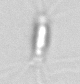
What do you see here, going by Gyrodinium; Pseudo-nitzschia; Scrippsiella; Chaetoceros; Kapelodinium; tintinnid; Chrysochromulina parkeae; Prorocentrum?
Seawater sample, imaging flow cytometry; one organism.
I see Chrysochromulina parkeae.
